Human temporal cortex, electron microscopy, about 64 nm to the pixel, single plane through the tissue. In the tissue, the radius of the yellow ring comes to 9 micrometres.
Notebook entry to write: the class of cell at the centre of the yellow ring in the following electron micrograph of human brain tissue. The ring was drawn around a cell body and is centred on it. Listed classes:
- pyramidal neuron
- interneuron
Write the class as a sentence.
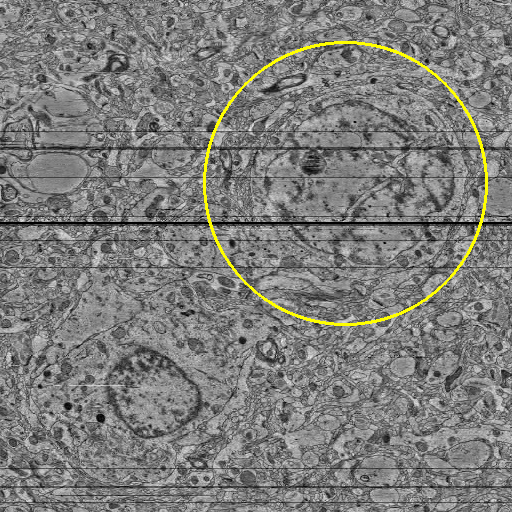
The yellow ring sits on an interneuron.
